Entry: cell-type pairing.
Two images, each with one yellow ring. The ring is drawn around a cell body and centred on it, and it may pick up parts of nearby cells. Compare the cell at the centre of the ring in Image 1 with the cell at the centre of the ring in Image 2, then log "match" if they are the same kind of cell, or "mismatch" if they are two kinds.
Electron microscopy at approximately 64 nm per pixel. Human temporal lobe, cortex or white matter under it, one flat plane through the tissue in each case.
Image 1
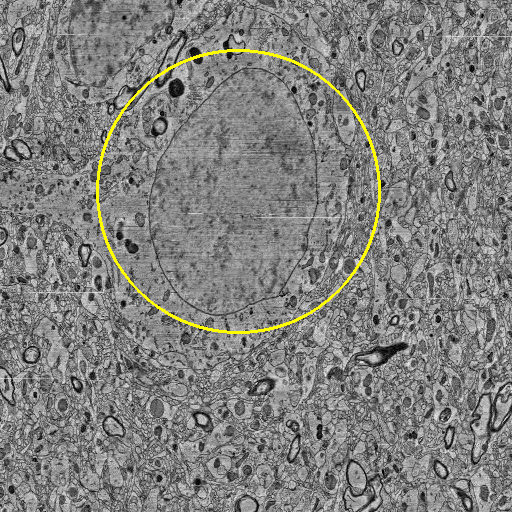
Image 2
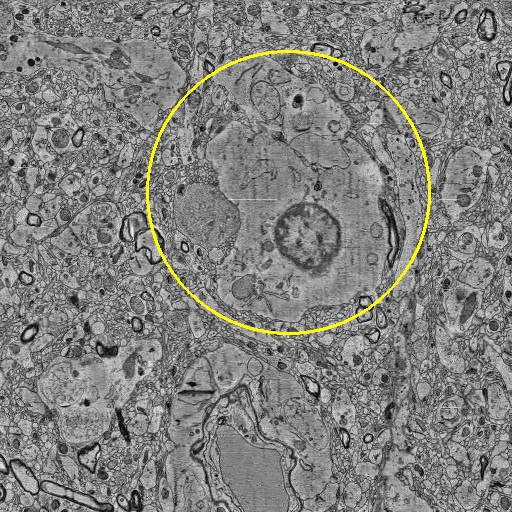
mismatch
